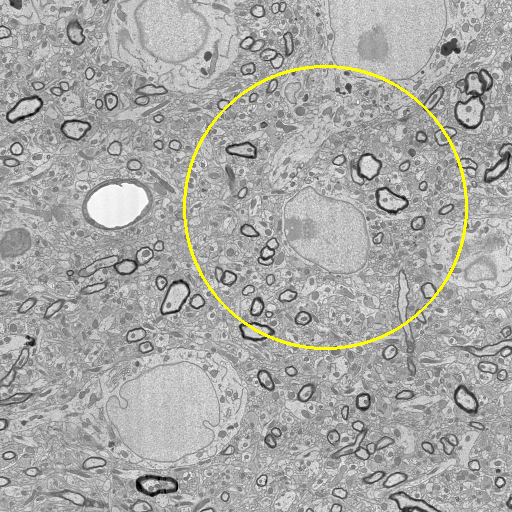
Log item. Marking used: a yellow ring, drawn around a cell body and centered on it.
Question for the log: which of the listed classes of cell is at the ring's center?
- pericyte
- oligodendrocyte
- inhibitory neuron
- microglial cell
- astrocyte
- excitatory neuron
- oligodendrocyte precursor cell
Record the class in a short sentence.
At the center of the ring lies an oligodendrocyte precursor cell.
